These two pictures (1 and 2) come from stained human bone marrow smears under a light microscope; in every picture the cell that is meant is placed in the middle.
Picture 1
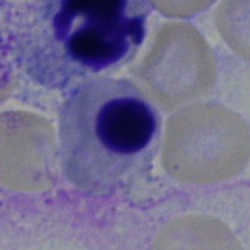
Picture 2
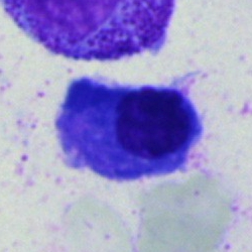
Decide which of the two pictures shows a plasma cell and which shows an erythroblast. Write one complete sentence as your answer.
The cell in picture 1 is an erythroblast, and the one in picture 2 is a plasma cell.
